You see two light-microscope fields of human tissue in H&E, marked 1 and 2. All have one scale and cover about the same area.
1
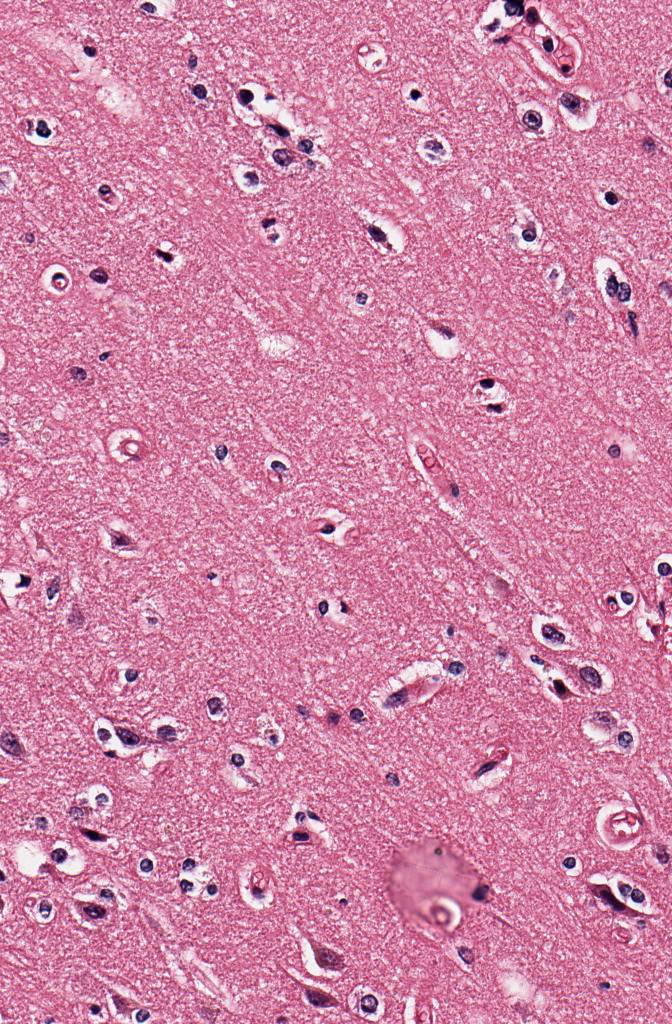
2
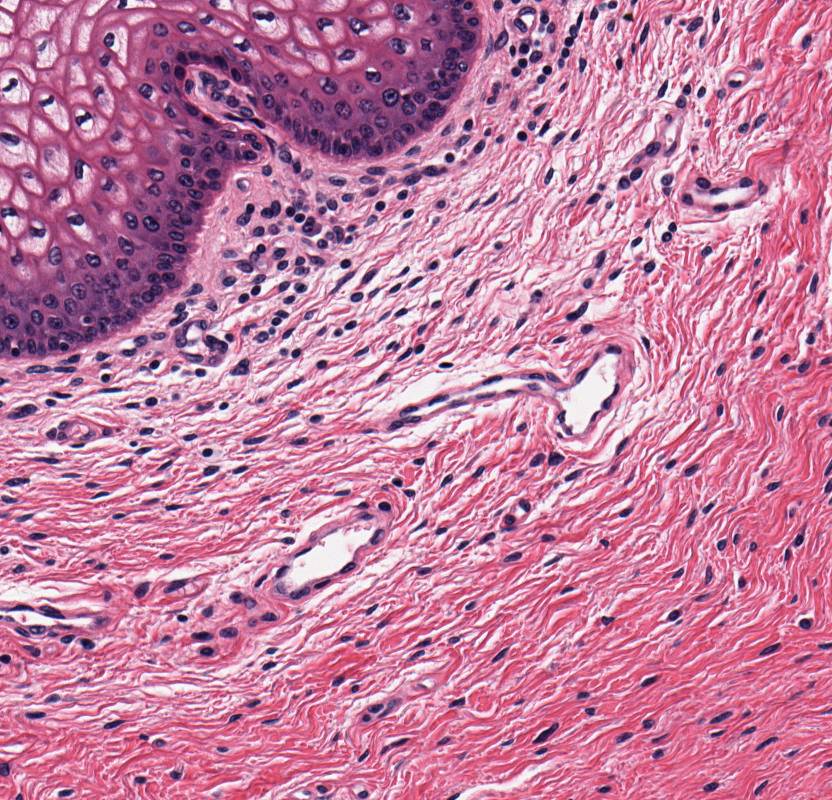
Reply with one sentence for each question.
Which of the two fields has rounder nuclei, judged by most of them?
On the whole the nuclei of field 1 are rounder than those of field 2.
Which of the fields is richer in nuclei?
It is field 2 that has more nuclei in it.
